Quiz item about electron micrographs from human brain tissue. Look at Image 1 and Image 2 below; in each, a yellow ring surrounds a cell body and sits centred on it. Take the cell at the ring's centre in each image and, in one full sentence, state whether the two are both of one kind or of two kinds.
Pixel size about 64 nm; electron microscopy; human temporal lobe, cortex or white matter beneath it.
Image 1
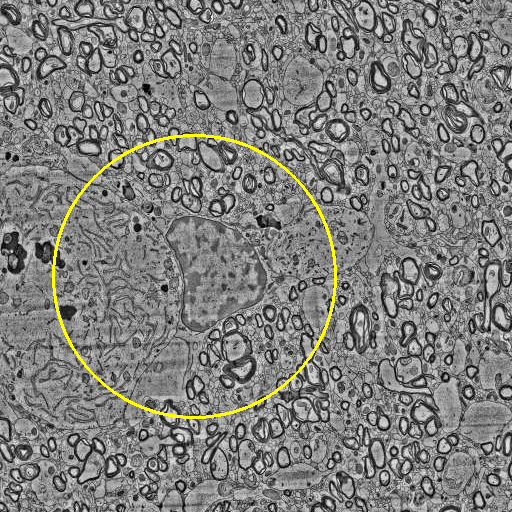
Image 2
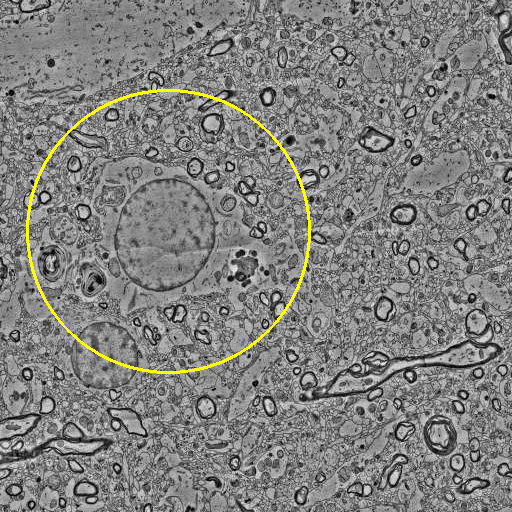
In Image 1 and Image 2, the cells at the ring centres are of two kinds.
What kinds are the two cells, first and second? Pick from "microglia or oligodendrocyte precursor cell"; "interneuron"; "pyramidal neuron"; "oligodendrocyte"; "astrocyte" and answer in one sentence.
The second picture holds an astrocyte in its ring, and the first holds a microglial cell or oligodendrocyte precursor cell.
